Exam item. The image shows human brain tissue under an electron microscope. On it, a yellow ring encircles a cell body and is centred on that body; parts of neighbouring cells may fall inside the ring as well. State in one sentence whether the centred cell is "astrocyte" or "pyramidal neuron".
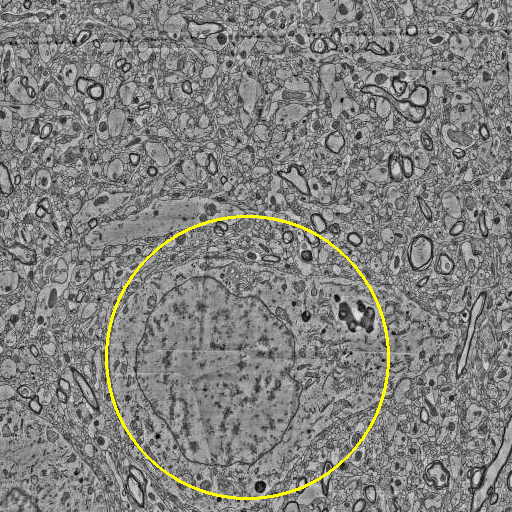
The cell body centred in the ring is a pyramidal neuron.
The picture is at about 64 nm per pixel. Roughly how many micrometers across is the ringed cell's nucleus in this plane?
The ringed cell's nucleus is about 12 micrometres long and 10 micrometres wide in this plane.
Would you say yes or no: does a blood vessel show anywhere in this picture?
No.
